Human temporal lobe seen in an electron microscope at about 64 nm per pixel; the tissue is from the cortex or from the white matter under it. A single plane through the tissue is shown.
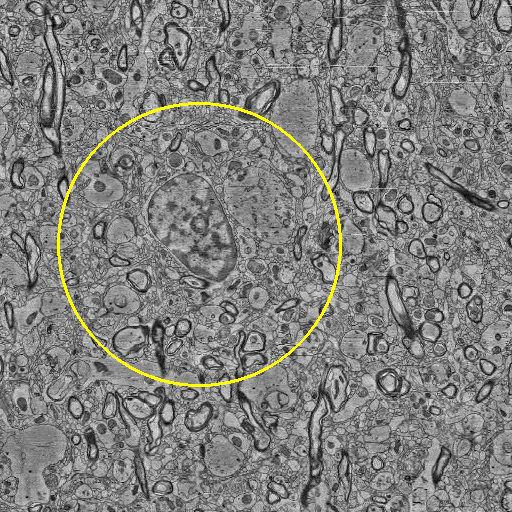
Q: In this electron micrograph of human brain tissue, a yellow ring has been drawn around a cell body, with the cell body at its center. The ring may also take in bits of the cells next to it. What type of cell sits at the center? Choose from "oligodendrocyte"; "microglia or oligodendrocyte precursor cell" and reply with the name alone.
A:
microglia or oligodendrocyte precursor cell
